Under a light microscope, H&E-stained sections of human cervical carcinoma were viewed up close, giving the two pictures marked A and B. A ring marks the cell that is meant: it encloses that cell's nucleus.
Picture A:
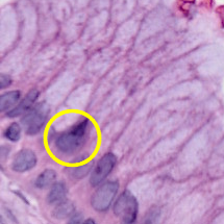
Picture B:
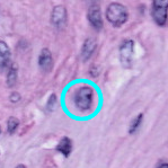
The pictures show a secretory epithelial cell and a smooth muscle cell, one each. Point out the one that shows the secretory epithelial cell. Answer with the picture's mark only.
A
